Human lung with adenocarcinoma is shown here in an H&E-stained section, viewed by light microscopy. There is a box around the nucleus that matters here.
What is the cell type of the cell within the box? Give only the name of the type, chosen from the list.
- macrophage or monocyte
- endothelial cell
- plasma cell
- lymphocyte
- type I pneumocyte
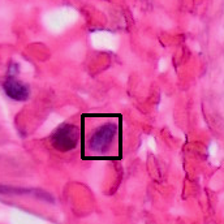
type I pneumocyte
